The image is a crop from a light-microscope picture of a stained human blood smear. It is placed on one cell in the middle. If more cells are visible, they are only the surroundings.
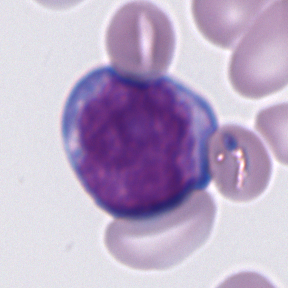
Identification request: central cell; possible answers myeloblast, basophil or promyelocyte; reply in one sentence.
Looking at the middle of the crop, the cell there is a myeloblast.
